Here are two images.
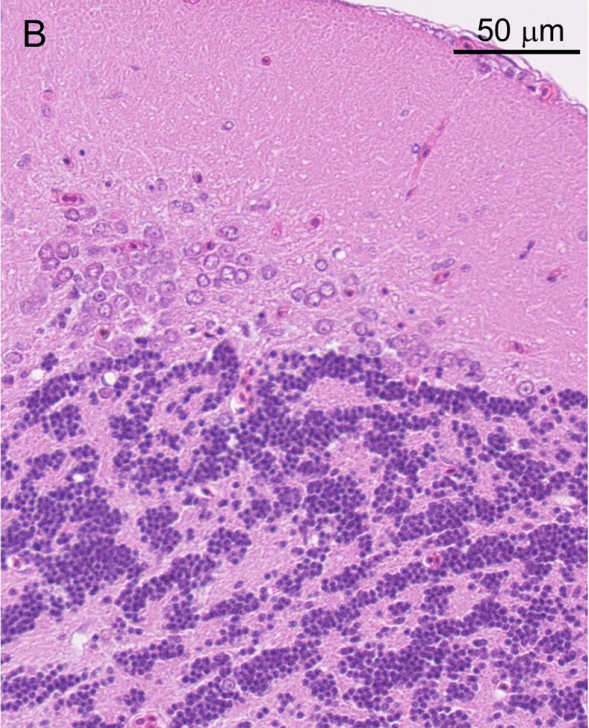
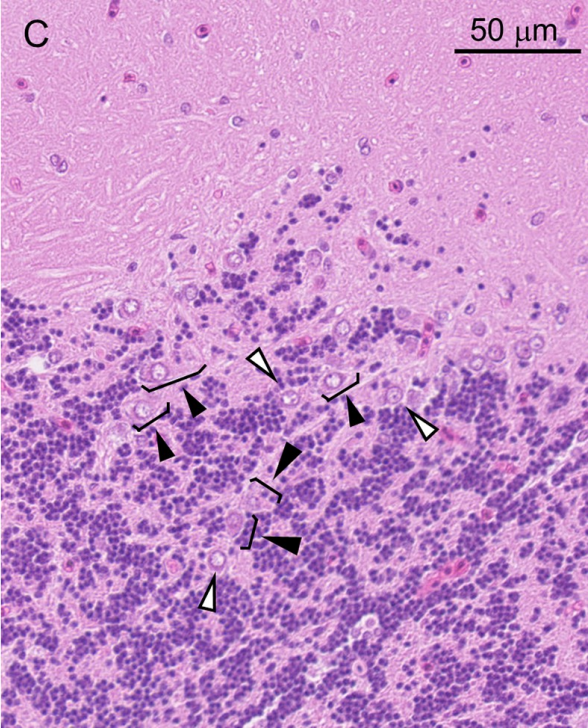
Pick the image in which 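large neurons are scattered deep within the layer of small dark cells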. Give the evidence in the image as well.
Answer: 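The second image. Second image: several large pale-nucleated cells lie within the dense band of small dark nuclei. First image: the large pale-nucleated cells sit in a band above the dense layer of small dark nuclei.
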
